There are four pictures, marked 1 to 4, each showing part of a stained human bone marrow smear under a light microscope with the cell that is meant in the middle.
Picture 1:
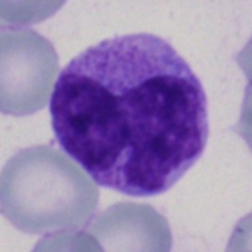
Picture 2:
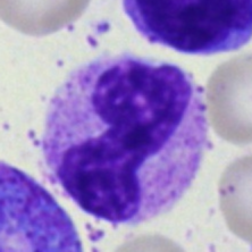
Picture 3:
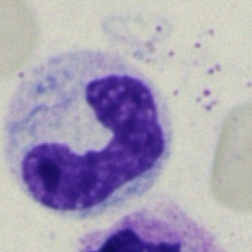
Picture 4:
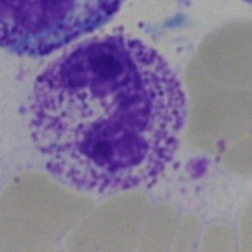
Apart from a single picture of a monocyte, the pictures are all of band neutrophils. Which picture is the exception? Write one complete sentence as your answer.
It is picture 1 that shows the monocyte.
